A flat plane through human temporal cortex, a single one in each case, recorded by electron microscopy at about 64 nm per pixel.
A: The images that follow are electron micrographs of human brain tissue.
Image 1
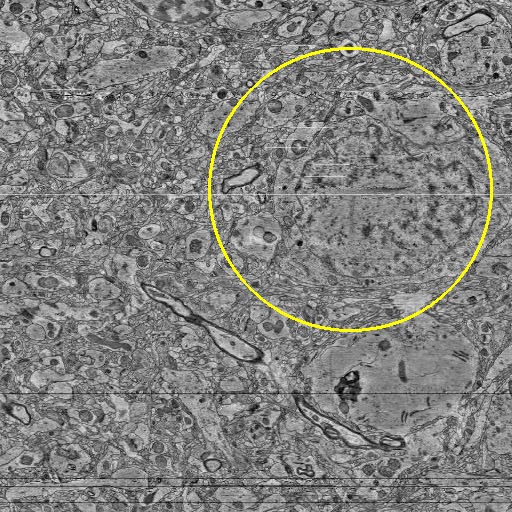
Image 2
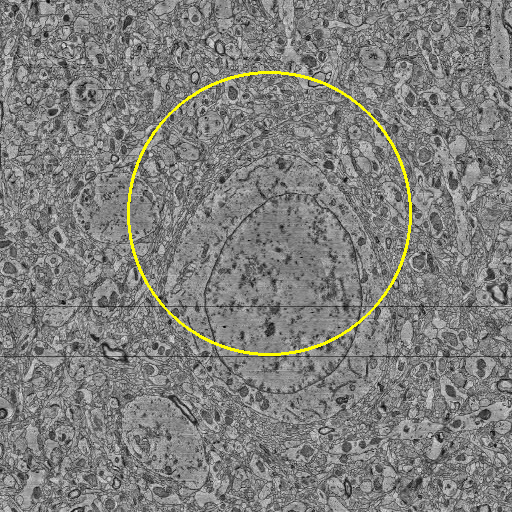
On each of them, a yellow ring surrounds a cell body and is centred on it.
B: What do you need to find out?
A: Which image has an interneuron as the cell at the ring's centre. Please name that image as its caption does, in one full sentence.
Image 1 is the one whose ring has the sought cell at its centre.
